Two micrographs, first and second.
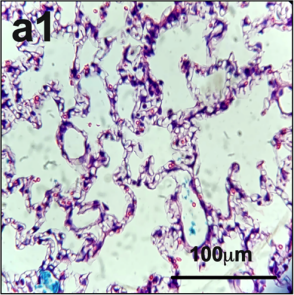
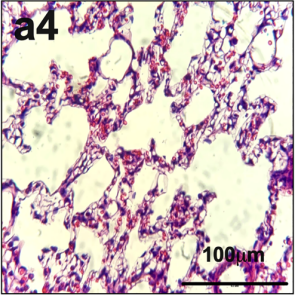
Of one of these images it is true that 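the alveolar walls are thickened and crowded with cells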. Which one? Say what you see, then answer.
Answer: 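The second image. Second image: alveolar walls are broad, densely cellular and full of red cells. First image: alveolar walls are thin and delicate around wide airspaces.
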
